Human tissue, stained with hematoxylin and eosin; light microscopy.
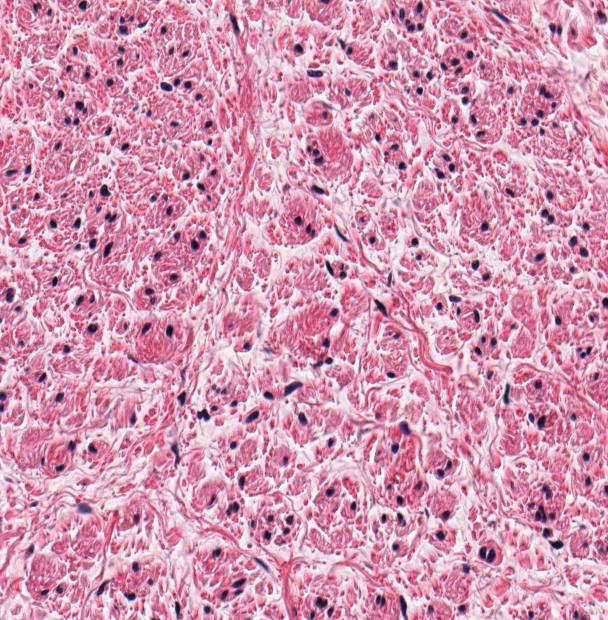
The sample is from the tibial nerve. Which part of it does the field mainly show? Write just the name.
nerve fascicle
